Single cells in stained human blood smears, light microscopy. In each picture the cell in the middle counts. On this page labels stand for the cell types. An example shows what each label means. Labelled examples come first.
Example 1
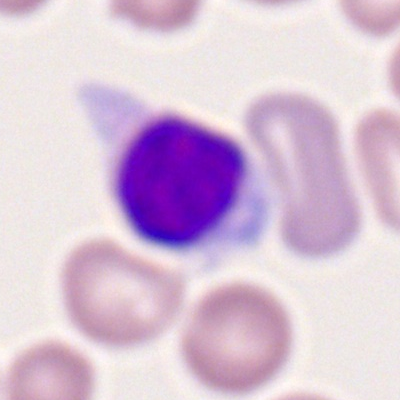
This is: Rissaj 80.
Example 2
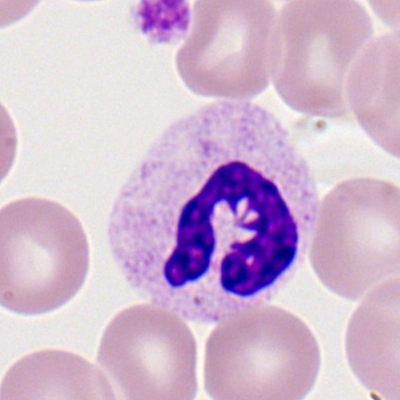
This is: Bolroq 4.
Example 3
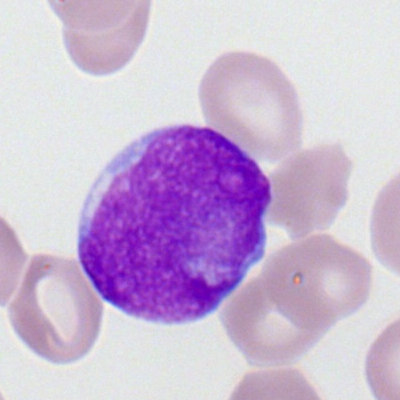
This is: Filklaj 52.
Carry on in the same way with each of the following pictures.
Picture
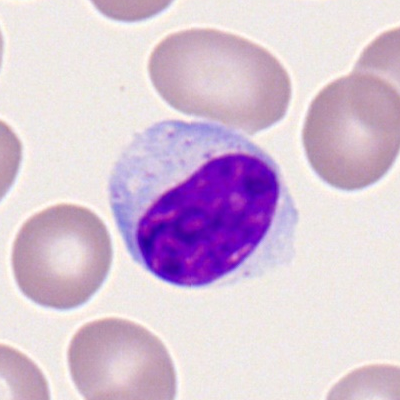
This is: Rissaj 80.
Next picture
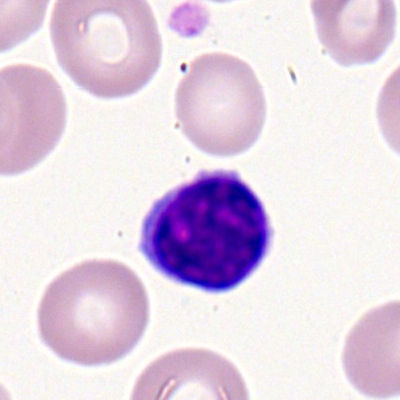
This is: Rissaj 80.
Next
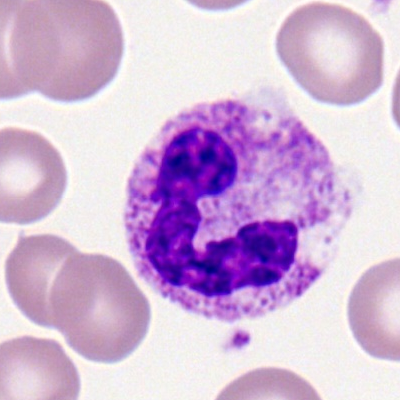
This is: Bolroq 4.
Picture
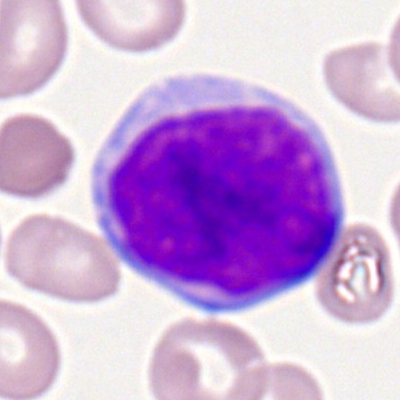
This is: Filklaj 52.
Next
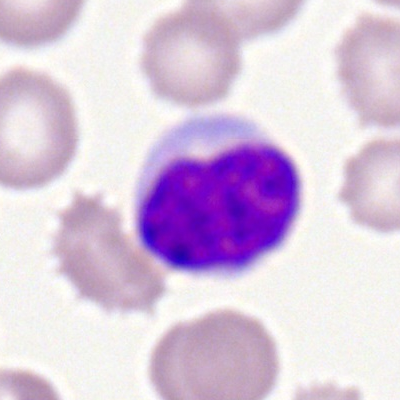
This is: Rissaj 80.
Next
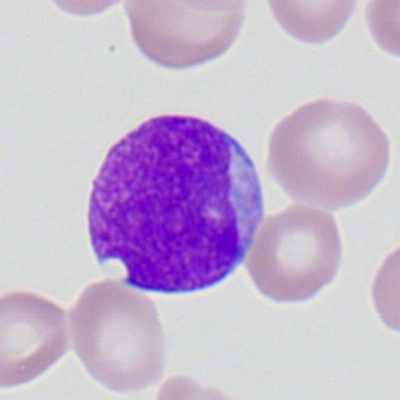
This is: Filklaj 52.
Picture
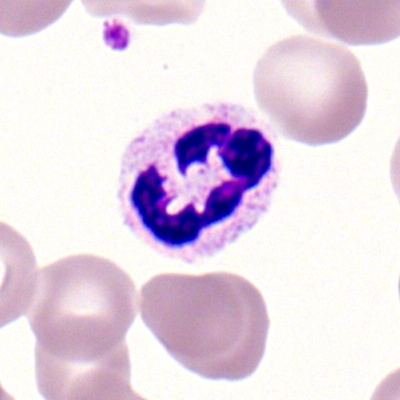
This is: Bolroq 4.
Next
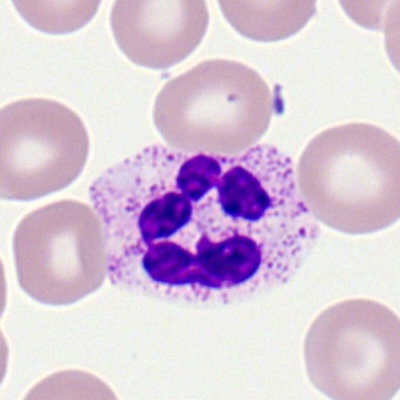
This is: Bolroq 4.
